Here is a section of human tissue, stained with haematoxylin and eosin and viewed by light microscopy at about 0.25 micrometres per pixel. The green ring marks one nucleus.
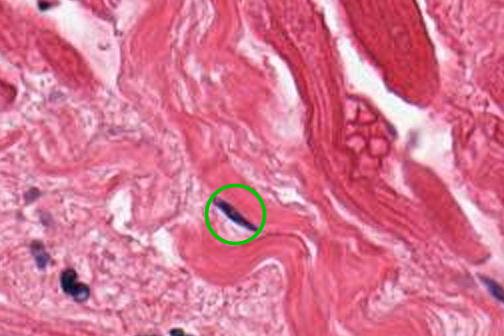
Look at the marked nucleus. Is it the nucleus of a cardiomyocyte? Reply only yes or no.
no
